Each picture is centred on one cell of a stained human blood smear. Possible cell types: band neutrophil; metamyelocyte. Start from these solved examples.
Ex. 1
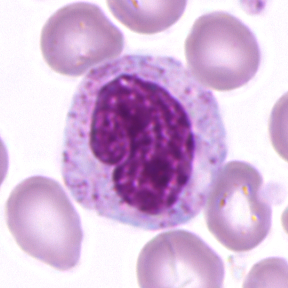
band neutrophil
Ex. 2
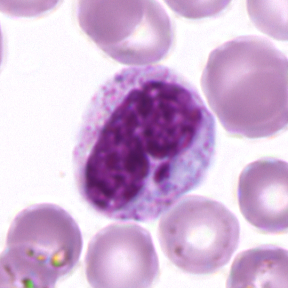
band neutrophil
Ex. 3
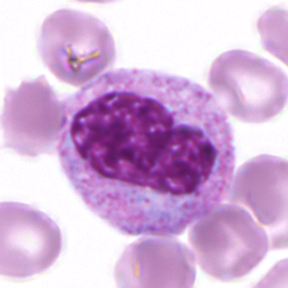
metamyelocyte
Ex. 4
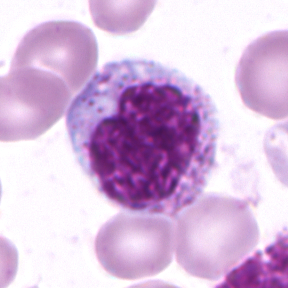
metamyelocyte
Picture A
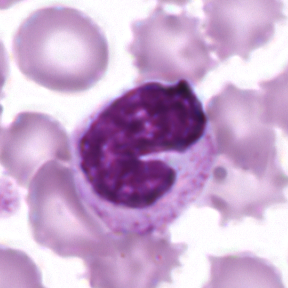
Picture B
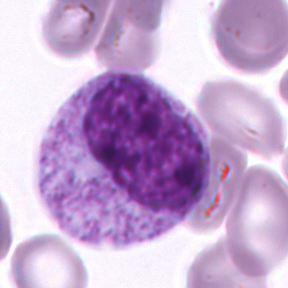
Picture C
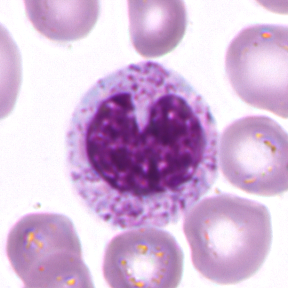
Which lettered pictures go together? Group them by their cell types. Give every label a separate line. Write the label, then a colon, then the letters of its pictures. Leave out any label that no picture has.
band neutrophil: A, C
metamyelocyte: B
